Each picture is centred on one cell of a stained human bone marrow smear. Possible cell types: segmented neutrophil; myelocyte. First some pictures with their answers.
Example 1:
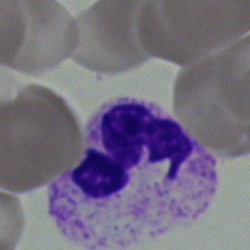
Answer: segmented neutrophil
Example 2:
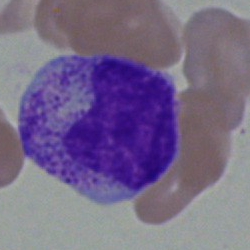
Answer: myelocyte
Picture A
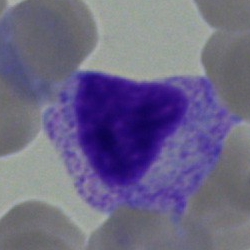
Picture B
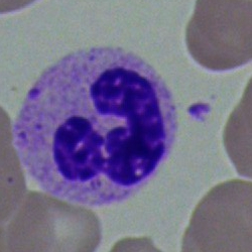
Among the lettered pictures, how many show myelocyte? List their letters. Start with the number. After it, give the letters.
1, namely A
